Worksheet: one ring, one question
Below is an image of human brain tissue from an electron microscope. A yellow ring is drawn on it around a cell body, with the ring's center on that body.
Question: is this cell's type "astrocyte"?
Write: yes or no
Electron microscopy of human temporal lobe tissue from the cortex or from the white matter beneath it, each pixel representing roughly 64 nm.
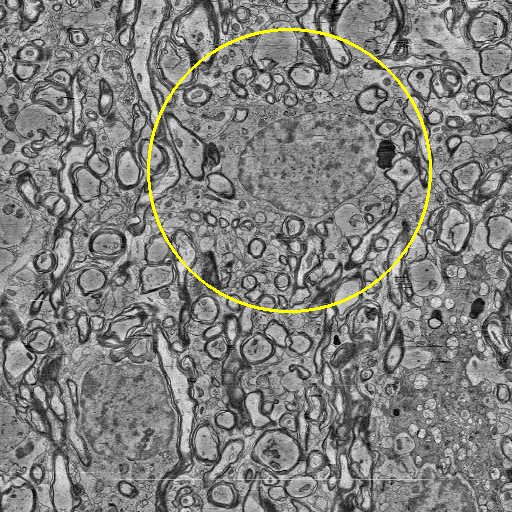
no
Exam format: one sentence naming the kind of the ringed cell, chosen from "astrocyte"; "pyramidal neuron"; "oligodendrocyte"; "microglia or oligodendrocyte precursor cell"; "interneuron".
Instead, the picture shows an oligodendrocyte at the centre of the ring.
